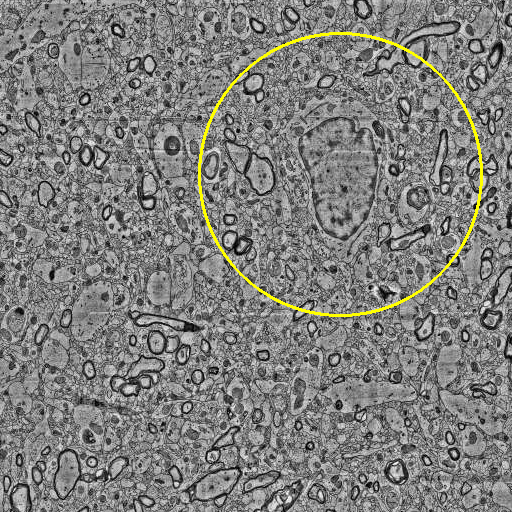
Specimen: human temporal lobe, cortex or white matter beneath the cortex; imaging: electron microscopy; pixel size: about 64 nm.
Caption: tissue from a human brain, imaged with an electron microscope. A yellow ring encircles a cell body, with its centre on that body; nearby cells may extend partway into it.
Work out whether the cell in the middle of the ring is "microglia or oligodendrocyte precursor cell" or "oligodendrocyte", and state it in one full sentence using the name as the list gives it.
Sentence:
In the picture, the cell that the yellow ring surrounds at its centre is a microglial cell or oligodendrocyte precursor cell.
